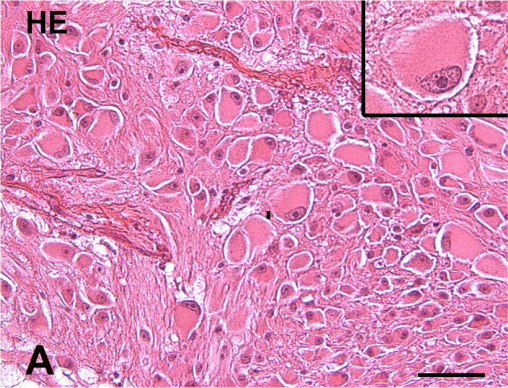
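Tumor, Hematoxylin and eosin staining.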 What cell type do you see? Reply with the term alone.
Giant cells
